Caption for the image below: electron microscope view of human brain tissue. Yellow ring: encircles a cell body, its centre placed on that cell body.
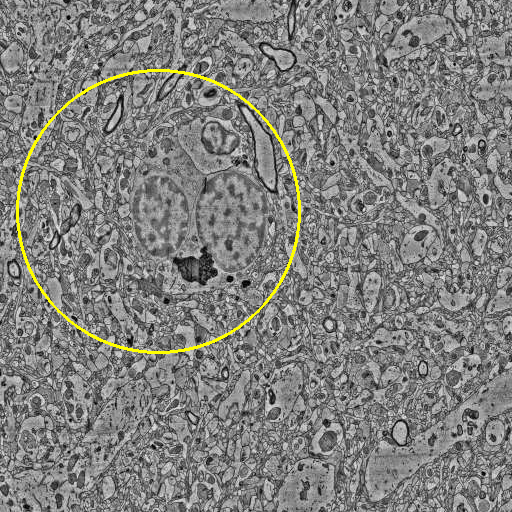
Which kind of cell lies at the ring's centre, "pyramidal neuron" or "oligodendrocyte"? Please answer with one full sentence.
The picture shows an oligodendrocyte at the centre of the yellow ring.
